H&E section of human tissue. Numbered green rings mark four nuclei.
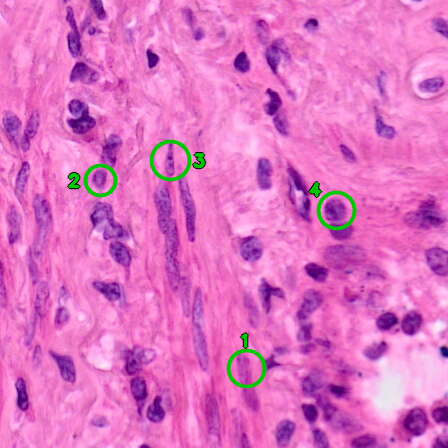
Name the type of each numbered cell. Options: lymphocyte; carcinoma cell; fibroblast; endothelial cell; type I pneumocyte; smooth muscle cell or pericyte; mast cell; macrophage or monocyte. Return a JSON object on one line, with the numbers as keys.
{"1": "smooth muscle cell or pericyte", "2": "lymphocyte", "3": "smooth muscle cell or pericyte", "4": "lymphocyte"}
